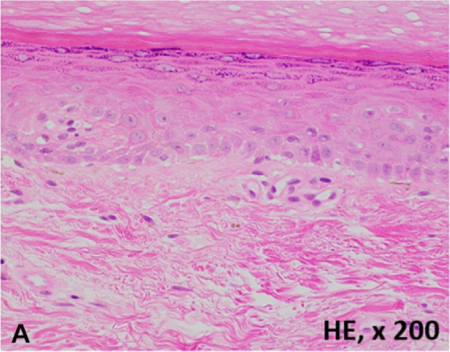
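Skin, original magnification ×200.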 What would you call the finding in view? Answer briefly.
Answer: Flattened epidermis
